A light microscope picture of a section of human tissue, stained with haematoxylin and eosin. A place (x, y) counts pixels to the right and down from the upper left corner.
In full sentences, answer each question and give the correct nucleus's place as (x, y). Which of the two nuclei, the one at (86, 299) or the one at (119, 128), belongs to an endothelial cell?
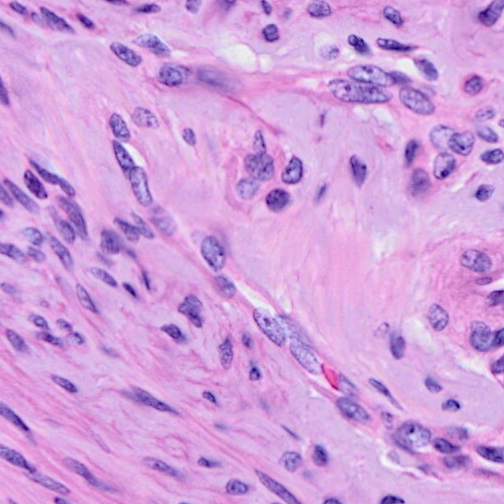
The nucleus of an endothelial cell is the one found at (119, 128), not the other.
